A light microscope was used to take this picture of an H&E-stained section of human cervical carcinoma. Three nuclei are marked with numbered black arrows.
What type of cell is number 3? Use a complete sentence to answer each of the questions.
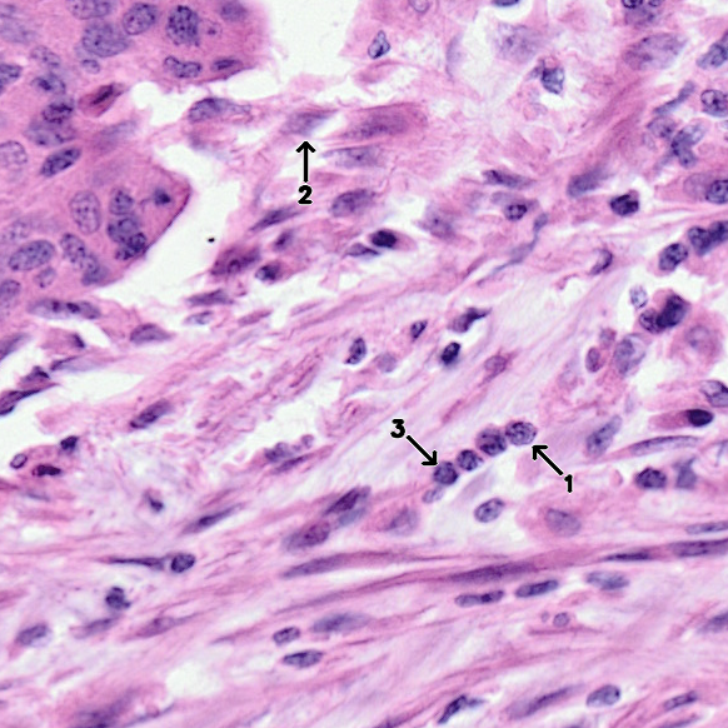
The cell that is numbered 3 is a lymphocyte.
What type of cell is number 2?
The cell marked with number 2 is a fibroblast.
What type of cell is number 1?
Marked with the number 1, this cell is a lymphocyte.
